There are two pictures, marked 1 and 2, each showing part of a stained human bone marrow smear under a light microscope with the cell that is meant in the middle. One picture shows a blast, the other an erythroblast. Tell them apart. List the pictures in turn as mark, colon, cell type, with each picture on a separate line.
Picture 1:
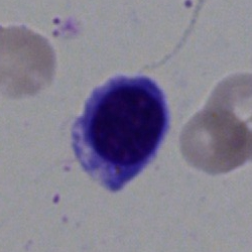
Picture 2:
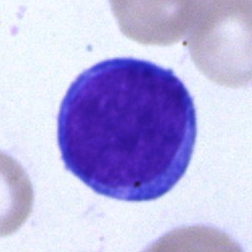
1: erythroblast
2: blast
